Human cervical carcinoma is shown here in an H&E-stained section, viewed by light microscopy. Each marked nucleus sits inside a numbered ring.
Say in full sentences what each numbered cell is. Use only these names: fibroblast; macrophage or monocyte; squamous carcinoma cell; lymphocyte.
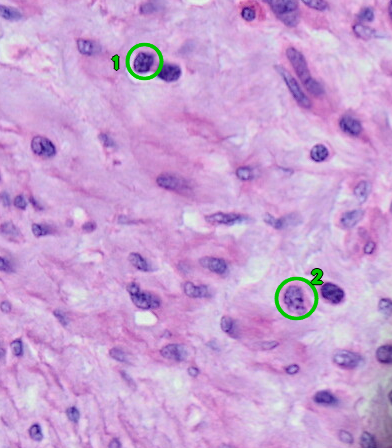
Cell 1 is a lymphocyte and cell 2 is a macrophage or monocyte.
